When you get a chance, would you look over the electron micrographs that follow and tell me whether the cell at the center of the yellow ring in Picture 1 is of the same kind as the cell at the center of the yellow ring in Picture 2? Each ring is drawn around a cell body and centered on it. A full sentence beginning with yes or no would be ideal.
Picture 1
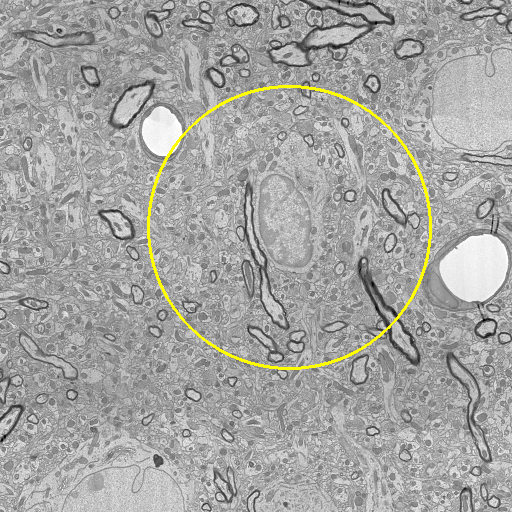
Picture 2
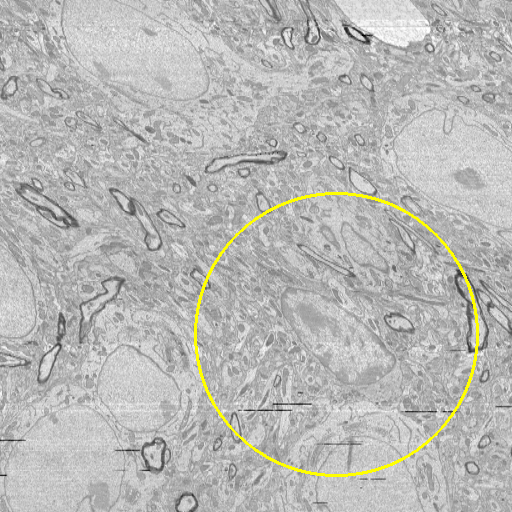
Yes, the two cells are of the same kind.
